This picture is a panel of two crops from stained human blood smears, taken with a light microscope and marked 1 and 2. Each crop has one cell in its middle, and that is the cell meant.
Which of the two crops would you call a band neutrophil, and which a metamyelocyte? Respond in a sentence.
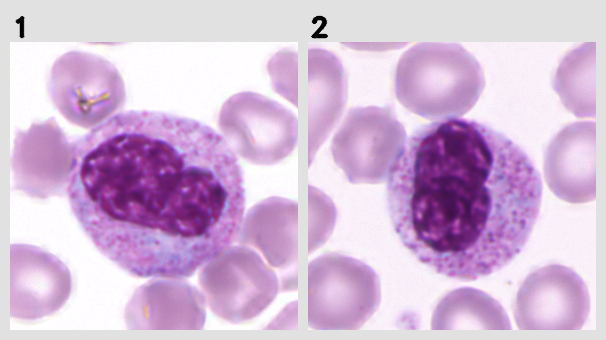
The cell centred in crop 1 is a metamyelocyte, and the one centred in crop 2 is a band neutrophil.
